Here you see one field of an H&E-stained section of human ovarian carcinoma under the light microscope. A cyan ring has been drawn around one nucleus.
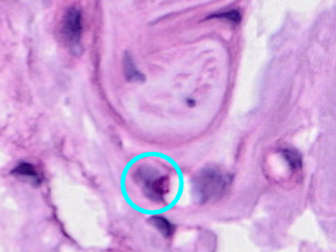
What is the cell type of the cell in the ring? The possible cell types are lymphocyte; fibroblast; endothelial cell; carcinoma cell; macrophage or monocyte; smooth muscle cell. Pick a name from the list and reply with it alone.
endothelial cell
